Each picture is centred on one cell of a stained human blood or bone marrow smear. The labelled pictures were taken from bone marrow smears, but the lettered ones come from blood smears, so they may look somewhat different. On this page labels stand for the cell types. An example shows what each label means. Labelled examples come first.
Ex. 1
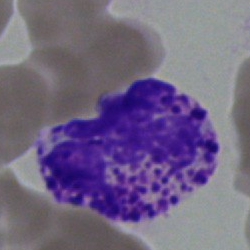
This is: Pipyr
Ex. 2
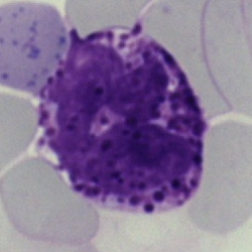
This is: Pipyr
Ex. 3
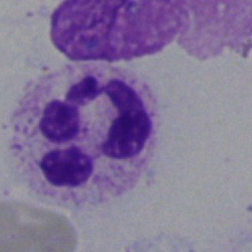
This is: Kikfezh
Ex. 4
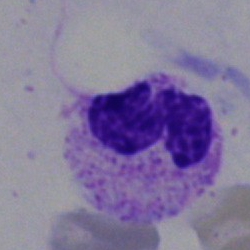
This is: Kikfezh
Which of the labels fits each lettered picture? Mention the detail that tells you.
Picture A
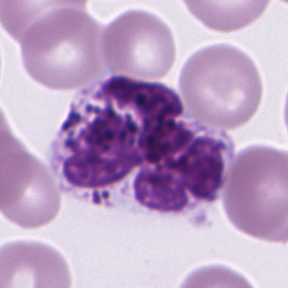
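Pipyr. Reason: The granules are coarse and unevenly scattered.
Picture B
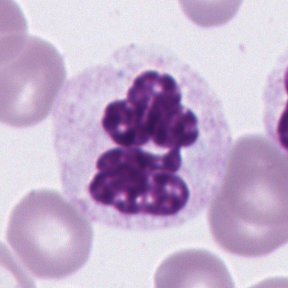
Kikfezh. Reason: The cytoplasm is plentiful and pale pinkish-lilac.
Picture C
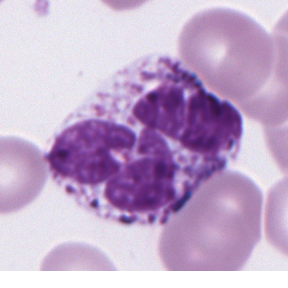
Pipyr. Reason: Coarse dark purple granules are scattered through the cytoplasm.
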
